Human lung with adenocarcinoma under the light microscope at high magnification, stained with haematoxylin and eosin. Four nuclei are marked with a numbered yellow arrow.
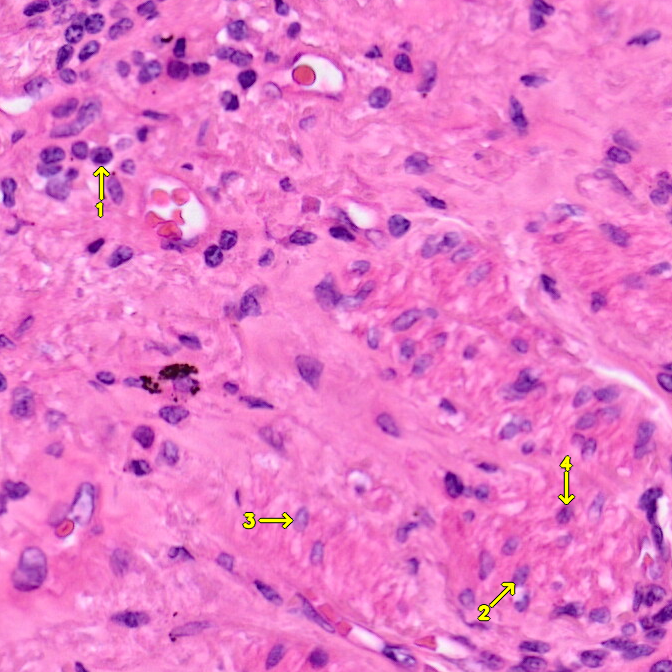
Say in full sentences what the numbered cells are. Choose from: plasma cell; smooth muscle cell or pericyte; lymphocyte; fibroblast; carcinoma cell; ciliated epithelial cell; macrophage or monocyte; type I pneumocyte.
Cell 1 is a lymphocyte. Cells 2, 3 and 4 are smooth muscle cells or pericytes.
